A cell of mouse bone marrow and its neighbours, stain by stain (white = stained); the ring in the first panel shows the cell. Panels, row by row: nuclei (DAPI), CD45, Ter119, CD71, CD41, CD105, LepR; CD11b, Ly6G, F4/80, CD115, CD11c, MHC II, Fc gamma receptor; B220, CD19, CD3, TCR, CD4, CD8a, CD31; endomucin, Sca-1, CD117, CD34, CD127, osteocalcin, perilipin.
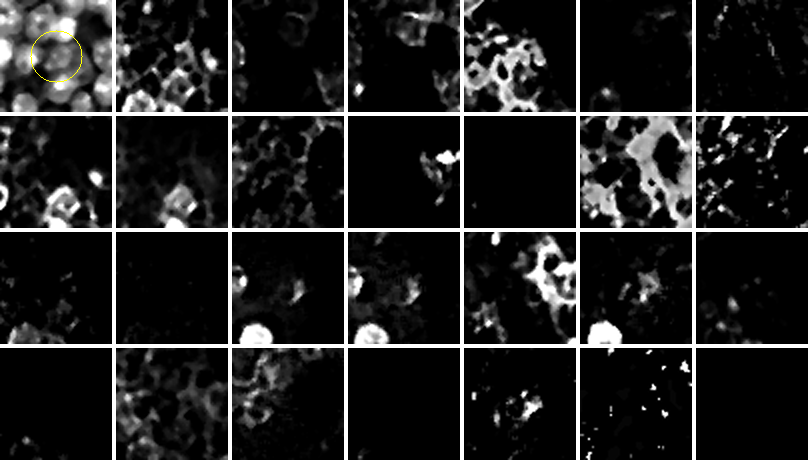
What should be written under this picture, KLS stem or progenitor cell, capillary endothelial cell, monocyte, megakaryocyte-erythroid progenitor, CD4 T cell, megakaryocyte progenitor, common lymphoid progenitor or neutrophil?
common lymphoid progenitor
